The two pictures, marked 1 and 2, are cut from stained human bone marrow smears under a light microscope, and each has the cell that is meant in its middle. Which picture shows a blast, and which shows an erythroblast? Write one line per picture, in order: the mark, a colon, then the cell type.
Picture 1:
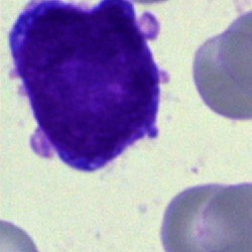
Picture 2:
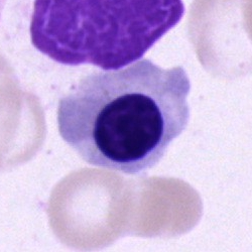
1: blast
2: erythroblast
